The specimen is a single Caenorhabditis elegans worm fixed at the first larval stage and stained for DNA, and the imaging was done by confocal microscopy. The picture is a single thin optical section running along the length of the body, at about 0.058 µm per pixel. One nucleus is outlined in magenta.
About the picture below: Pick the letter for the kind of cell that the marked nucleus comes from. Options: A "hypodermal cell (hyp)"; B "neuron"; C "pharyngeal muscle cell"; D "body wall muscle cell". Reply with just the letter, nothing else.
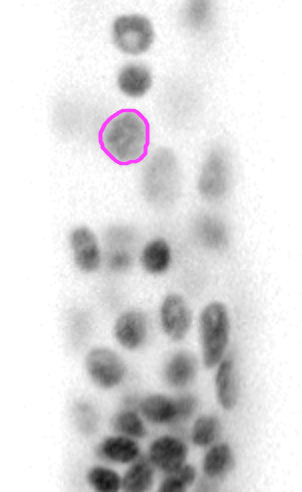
A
